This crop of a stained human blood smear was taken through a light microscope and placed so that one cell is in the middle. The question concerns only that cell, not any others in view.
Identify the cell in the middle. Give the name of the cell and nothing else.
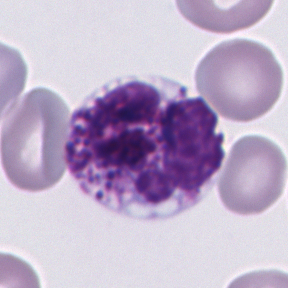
basophil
